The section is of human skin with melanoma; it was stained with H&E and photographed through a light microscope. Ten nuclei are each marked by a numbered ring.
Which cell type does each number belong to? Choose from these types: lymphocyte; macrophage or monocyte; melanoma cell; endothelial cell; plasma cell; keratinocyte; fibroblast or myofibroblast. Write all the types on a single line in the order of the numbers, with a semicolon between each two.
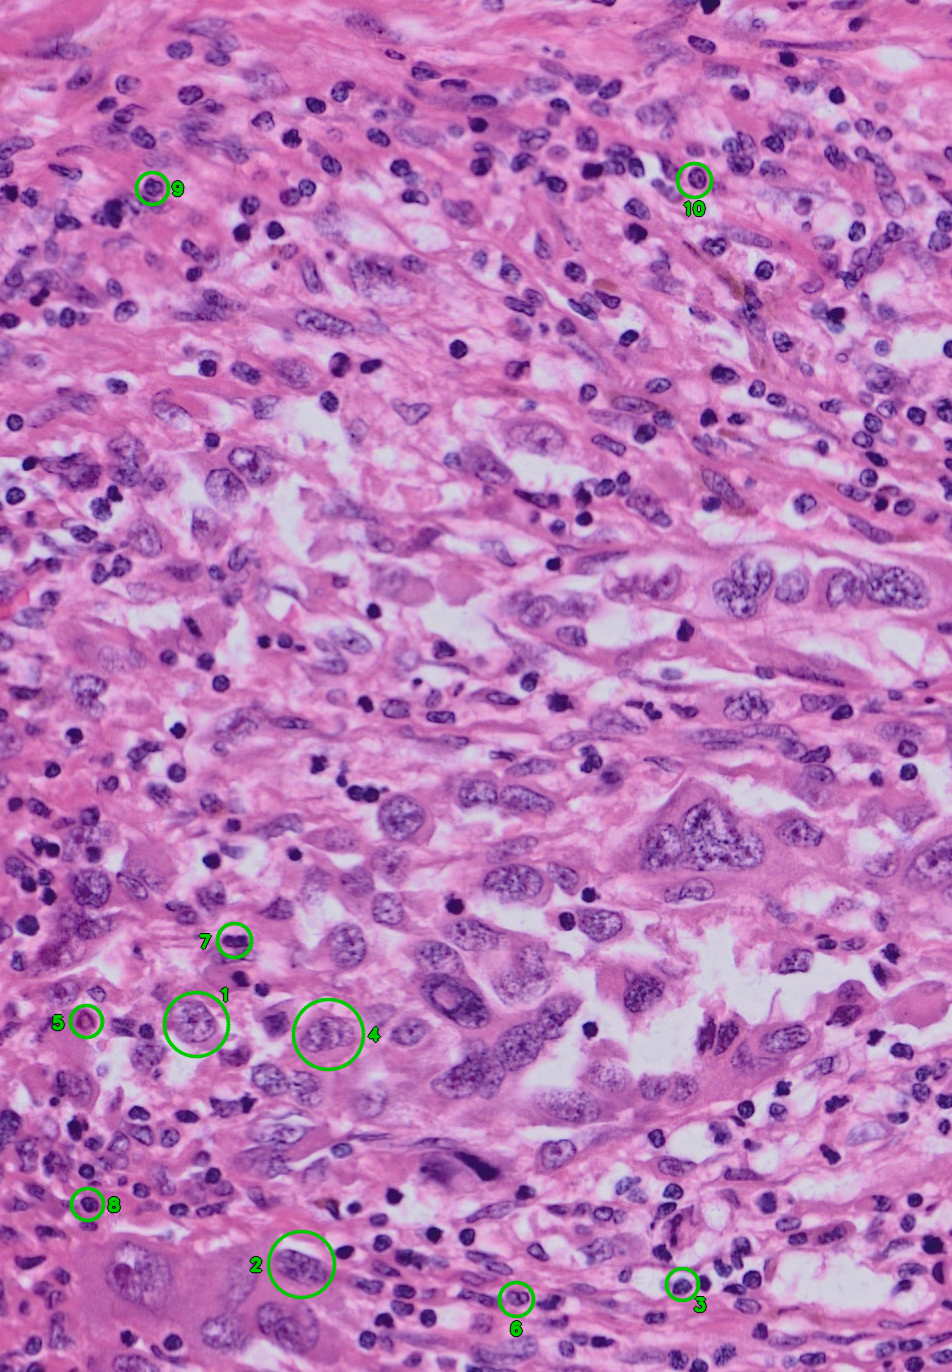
melanoma cell; melanoma cell; lymphocyte; melanoma cell; melanoma cell; lymphocyte; lymphocyte; lymphocyte; lymphocyte; lymphocyte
